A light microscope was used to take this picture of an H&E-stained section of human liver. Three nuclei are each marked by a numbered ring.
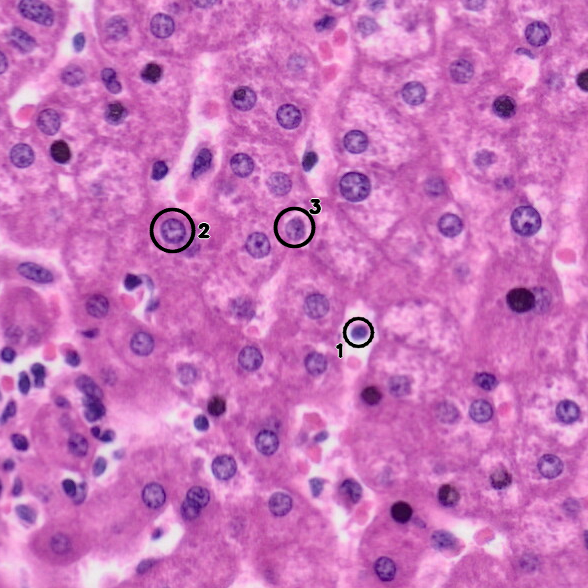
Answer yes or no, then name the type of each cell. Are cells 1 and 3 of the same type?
No, cell 1 is a lymphocyte and cell 3 is a hepatocyte.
